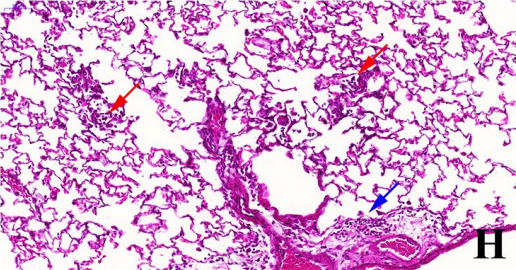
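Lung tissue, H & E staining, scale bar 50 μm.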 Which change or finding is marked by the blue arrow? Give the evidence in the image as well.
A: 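Small dark nuclei gather in the connective tissue around a vessel at the wall of a large airway.
Infiltration of inflammatory cells.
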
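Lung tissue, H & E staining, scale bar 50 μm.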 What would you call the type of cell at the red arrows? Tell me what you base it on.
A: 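Interalveolar inflammatory cells. Clusters of dark nuclei crowd and thicken the alveolar septa. The clusters lie in the alveolar region, not around the large airway.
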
